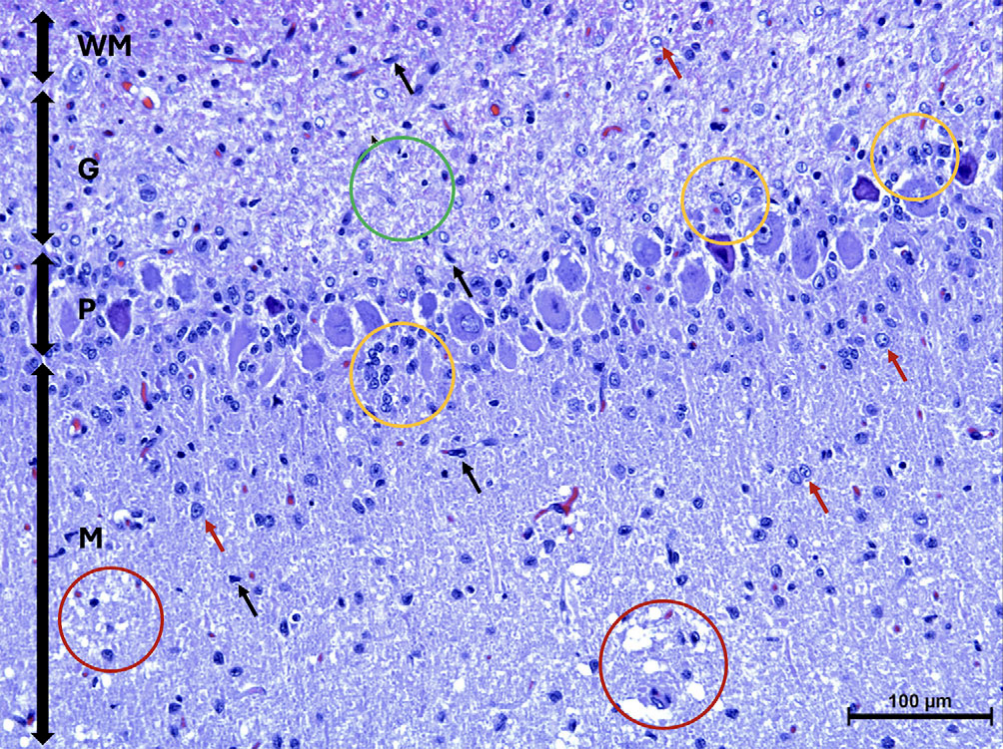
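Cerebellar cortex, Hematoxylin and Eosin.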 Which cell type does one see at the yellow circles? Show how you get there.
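Bergmann glial cells. The circles enclose clusters of small round nuclei. The clusters lie right beside the row of large pale neuronal cell bodies.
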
